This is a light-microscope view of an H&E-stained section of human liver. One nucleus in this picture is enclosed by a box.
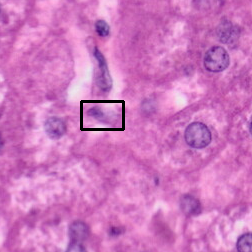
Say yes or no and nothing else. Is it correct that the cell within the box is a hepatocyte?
no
